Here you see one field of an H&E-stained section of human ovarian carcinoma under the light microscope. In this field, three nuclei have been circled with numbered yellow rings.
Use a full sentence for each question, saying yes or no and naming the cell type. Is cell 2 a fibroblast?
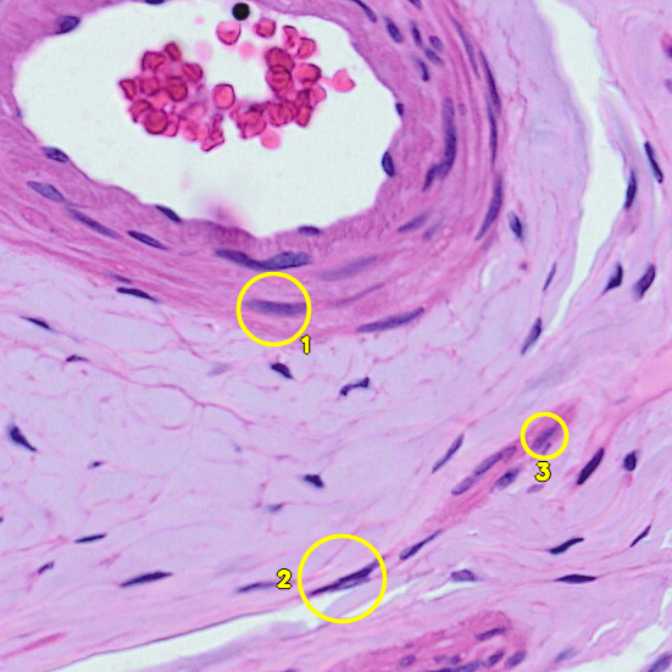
Yes, a fibroblast is what the cell numbered 2 is.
